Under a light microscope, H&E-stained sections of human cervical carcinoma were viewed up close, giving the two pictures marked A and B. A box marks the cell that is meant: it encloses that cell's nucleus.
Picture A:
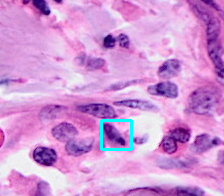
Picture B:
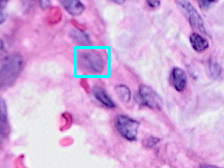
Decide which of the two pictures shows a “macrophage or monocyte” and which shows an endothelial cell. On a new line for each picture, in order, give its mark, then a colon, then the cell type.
A: macrophage or monocyte
B: endothelial cell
